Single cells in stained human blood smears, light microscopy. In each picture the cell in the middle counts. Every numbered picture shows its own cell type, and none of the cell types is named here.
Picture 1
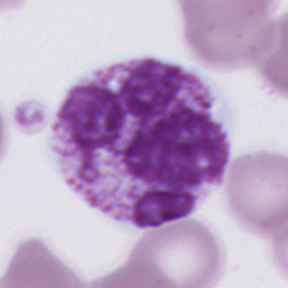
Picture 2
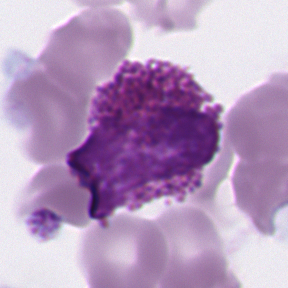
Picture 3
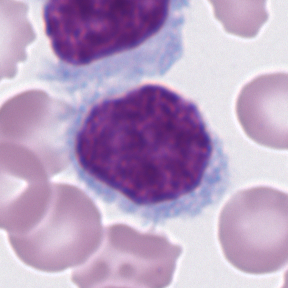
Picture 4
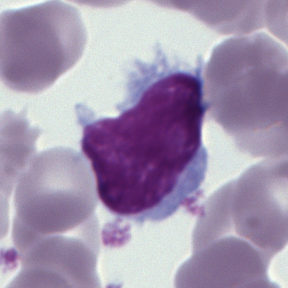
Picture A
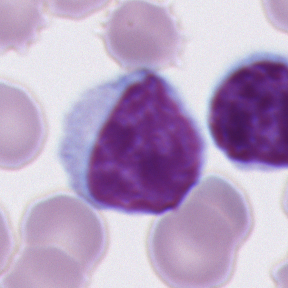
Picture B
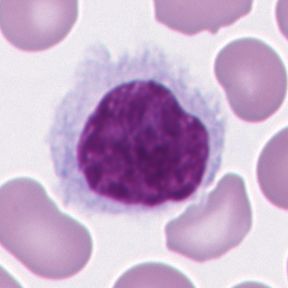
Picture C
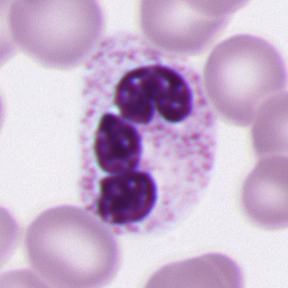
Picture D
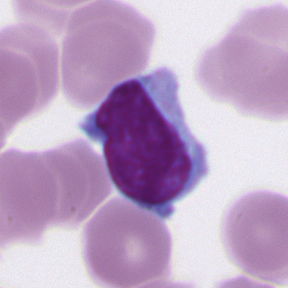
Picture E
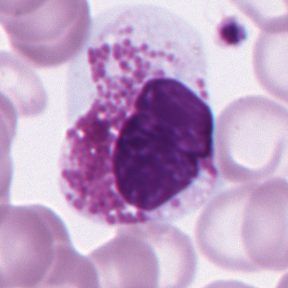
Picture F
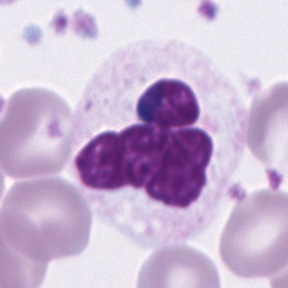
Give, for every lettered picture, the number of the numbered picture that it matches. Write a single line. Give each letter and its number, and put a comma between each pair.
A 4, B 3, C 1, D 4, E 2, F 1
